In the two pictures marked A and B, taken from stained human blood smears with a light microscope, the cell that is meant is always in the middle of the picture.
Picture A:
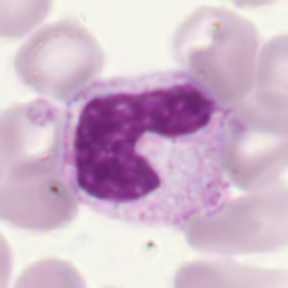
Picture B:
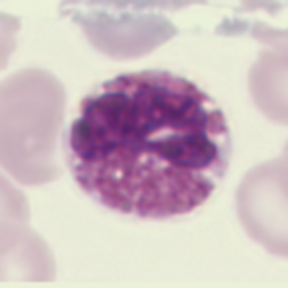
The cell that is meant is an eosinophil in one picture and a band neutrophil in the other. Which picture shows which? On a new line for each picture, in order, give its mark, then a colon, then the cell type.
A: band neutrophil
B: eosinophil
